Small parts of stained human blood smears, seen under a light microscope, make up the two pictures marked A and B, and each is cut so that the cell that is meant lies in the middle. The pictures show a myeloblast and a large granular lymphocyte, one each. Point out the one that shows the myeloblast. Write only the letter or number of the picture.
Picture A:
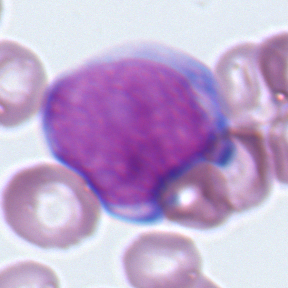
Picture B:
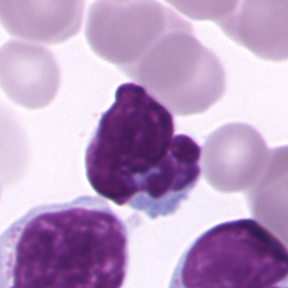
A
